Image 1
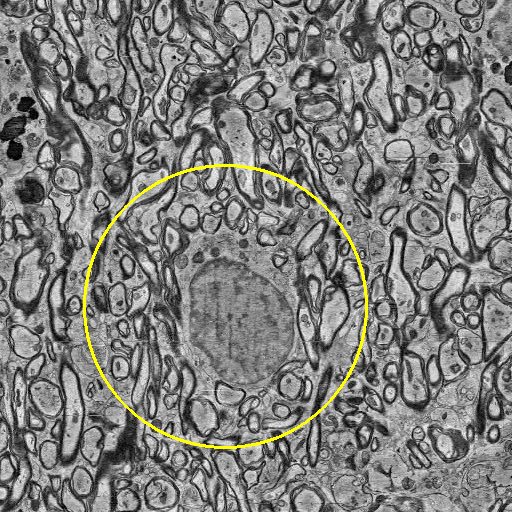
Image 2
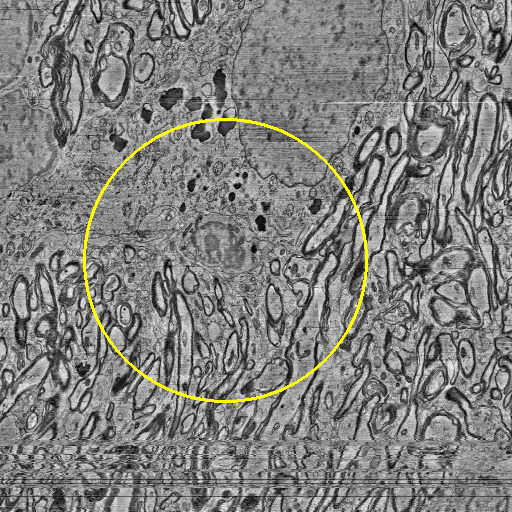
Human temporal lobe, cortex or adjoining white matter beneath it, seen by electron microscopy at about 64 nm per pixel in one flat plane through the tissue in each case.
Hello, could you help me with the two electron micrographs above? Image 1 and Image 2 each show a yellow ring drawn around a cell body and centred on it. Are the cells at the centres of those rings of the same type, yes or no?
yes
